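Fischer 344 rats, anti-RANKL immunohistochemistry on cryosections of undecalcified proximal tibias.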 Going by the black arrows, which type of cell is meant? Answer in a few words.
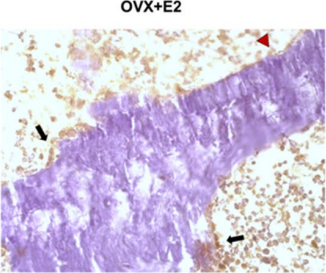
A: Osteoblasts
